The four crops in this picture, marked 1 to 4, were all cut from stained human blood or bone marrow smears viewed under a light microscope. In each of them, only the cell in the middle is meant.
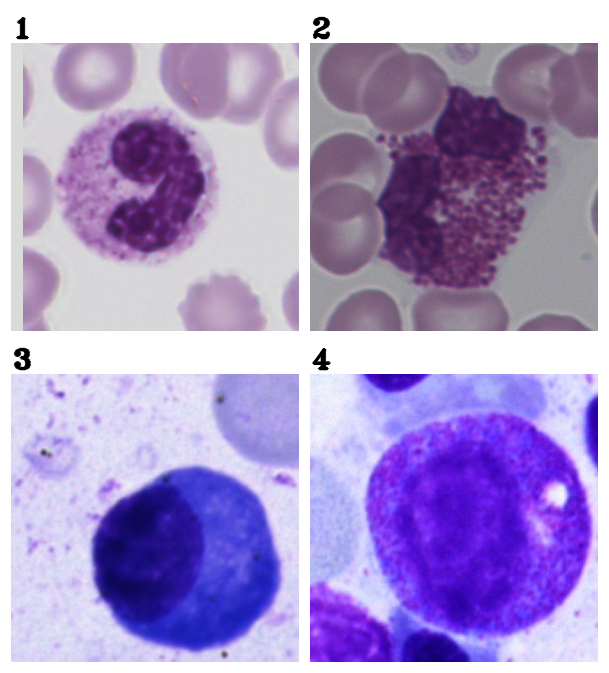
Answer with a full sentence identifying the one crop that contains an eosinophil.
Crop 2 is identified as the crop showing an eosinophil.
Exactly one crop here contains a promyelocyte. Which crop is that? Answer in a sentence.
Among the crops provided, a promyelocyte occupies the center of crop 4.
